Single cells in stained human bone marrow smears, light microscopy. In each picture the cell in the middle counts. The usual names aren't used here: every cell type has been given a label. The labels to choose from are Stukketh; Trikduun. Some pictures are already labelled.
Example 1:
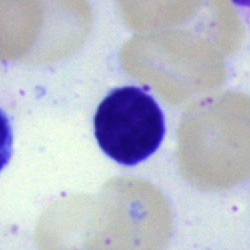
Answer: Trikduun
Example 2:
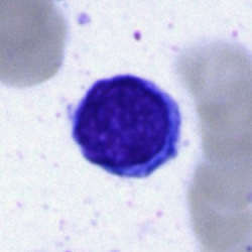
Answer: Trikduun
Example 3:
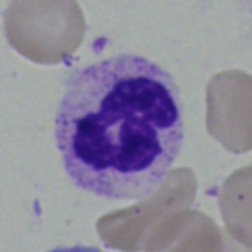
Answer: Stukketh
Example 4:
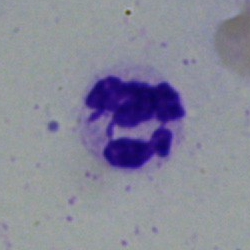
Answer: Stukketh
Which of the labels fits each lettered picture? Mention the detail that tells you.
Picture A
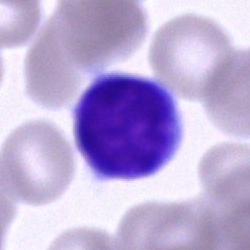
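Trikduun. Cytoplasm is barely visible, at most a very thin rim around the nucleus.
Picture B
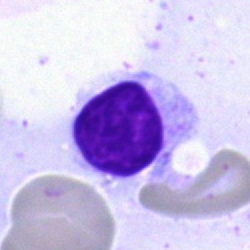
Trikduun. The nucleus fills most of the cell, leaving a rim of cytoplasm that is wider on the right side.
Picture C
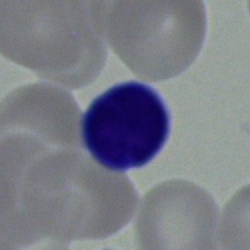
Trikduun. The dark nucleus fills almost the whole cell.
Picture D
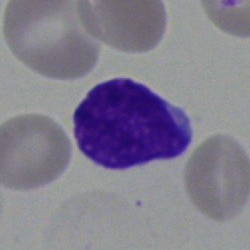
Trikduun. The nucleus fills almost the whole cell.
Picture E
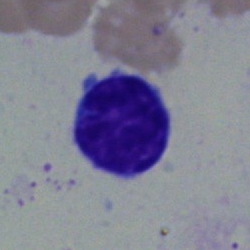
Trikduun. The nucleus fills almost the whole cell, leaving very little visible cytoplasm.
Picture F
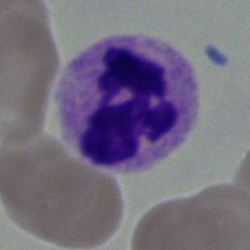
Stukketh. The cytoplasm is plentiful and pale lilac.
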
